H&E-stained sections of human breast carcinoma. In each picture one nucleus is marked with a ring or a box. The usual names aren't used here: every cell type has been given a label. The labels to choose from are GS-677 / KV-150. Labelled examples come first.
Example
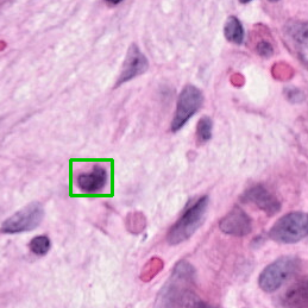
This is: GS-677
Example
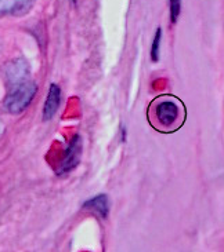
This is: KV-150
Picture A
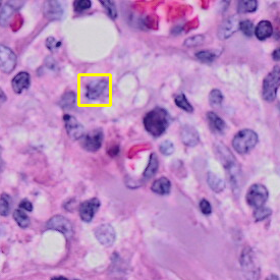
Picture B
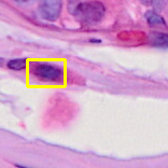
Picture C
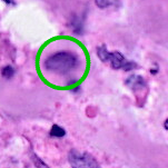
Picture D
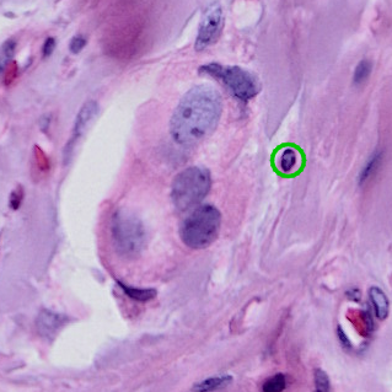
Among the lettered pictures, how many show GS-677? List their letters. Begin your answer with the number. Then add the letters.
2: A, C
